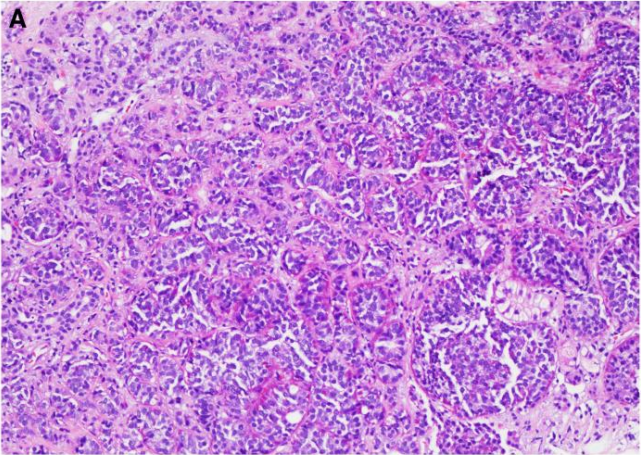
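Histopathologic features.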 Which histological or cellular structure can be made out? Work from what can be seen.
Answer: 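Nests, tubules and trabecular patterns. Cells form rounded nests outlined by thin pink stromal septa. Some cells line up in cords and small gland-like spaces.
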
